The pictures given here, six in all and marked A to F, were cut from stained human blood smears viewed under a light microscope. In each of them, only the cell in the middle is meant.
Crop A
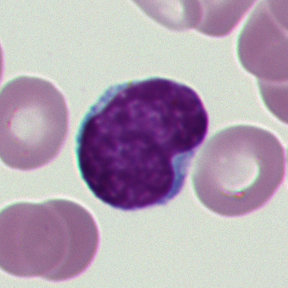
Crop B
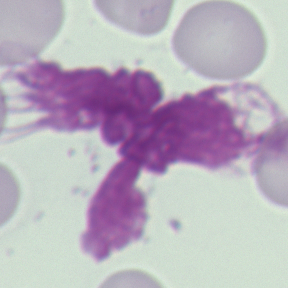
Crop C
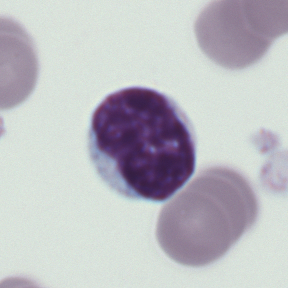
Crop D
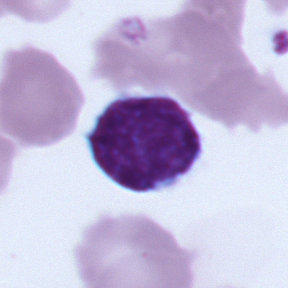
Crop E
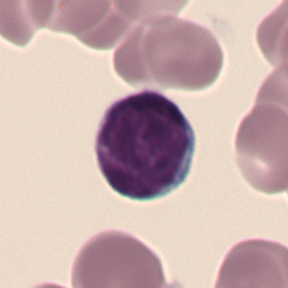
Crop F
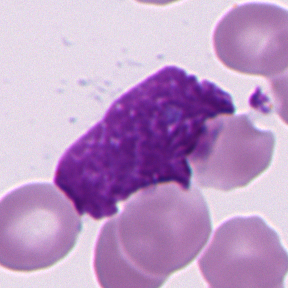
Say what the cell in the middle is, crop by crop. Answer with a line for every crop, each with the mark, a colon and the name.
A: typical lymphocyte
B: smudge cell
C: typical lymphocyte
D: typical lymphocyte
E: typical lymphocyte
F: smudge cell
